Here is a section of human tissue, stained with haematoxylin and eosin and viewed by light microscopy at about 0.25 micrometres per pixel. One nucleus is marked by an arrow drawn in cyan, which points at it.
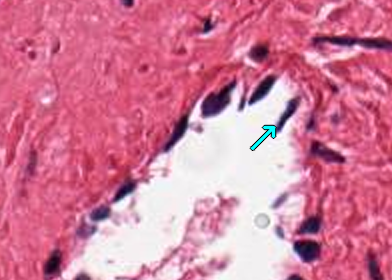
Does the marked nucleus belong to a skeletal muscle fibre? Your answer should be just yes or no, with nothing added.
no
